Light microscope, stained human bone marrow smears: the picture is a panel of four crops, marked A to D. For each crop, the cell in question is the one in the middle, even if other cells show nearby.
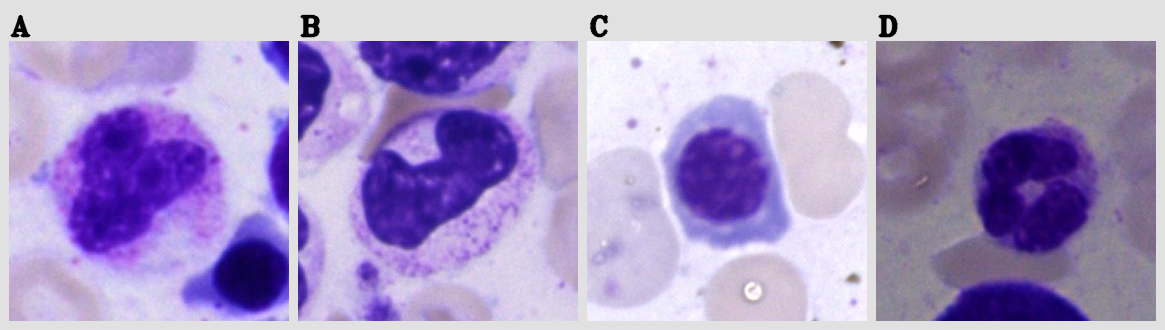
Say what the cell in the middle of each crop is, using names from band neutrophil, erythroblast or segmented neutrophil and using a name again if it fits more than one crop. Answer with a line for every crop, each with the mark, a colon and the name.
A: segmented neutrophil
B: band neutrophil
C: erythroblast
D: segmented neutrophil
